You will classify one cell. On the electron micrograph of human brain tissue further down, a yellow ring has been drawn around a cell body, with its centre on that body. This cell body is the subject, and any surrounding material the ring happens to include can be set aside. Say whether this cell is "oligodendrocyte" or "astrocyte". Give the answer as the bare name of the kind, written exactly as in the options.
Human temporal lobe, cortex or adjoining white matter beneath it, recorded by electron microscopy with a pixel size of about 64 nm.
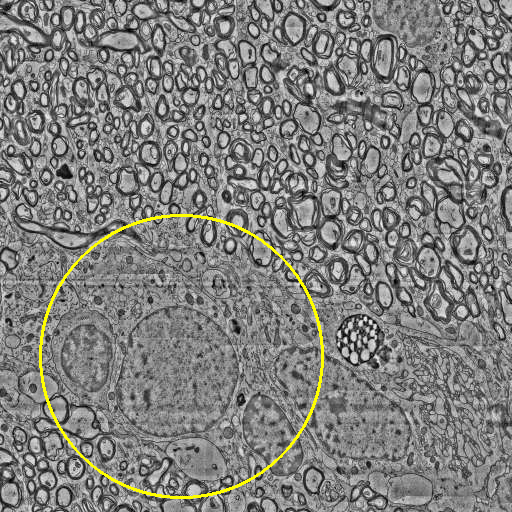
astrocyte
